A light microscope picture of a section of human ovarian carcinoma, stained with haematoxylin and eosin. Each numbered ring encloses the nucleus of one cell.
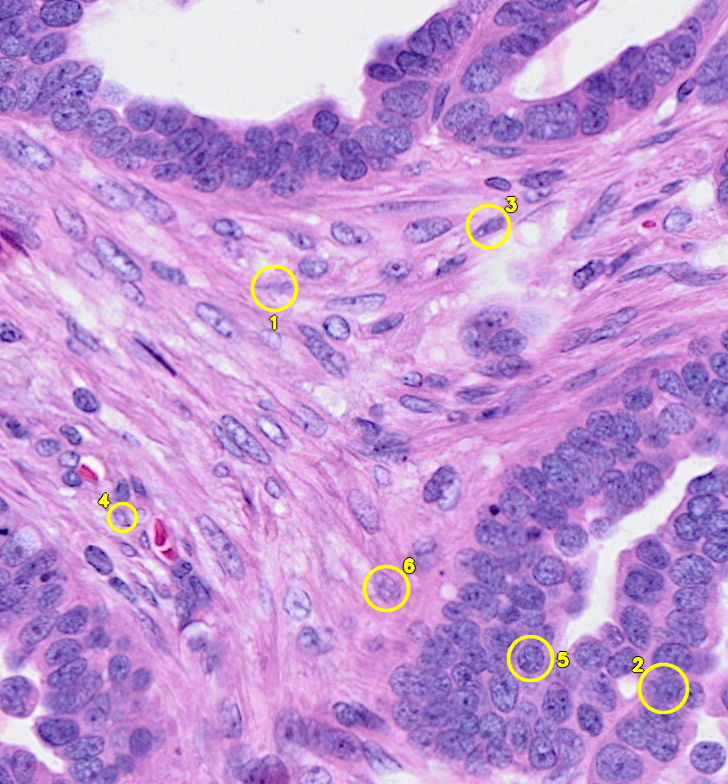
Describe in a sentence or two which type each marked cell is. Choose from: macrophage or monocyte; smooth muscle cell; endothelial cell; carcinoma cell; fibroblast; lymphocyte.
Cell 1 is a fibroblast, cell 2 is a carcinoma cell, cell 3 is a fibroblast, cell 4 is a fibroblast, cell 5 is a carcinoma cell and cell 6 is a fibroblast.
